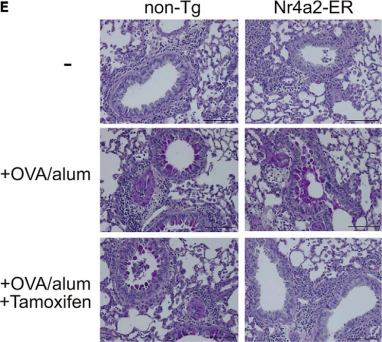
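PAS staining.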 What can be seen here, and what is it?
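These are sections of lung showing small airways cut across, each surrounded by alveolar tissue of thin-walled air spaces. The airways are lined by a continuous layer of epithelial cells with purple-blue nuclei. In several of the sections, cells in the airway lining are filled with magenta material, which marks mucus-laden cells. In the same sections, dense collections of small dark-nucleated cells crowd the tissue around the airways and neighbouring vessels.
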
